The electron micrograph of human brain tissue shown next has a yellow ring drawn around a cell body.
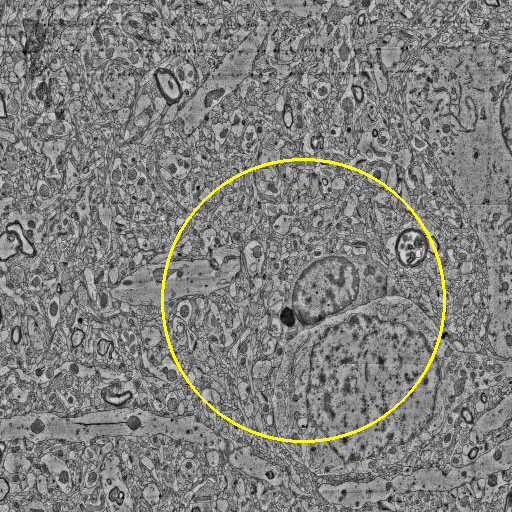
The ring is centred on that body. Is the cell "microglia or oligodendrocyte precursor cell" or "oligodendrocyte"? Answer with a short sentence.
The cell in question is an oligodendrocyte.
